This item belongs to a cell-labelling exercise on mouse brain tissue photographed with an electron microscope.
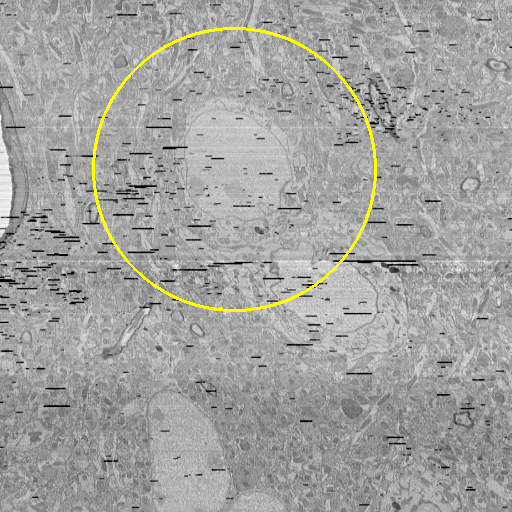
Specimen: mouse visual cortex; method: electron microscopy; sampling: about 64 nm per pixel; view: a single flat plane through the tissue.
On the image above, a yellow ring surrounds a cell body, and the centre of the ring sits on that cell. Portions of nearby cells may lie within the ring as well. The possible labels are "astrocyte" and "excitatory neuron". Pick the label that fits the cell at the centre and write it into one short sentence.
This cell should be labelled as an excitatory neuron.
